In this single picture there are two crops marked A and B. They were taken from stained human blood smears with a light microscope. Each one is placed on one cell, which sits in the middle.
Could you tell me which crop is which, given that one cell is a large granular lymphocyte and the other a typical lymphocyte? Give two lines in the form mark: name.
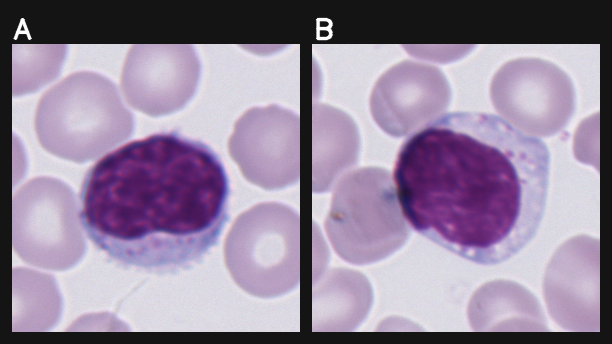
A: typical lymphocyte
B: large granular lymphocyte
